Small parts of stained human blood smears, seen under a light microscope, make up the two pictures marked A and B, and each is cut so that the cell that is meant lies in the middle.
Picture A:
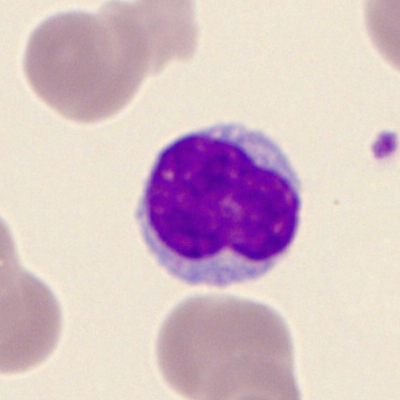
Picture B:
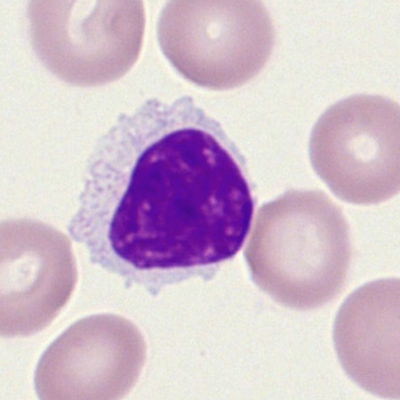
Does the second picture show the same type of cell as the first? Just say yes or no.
yes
